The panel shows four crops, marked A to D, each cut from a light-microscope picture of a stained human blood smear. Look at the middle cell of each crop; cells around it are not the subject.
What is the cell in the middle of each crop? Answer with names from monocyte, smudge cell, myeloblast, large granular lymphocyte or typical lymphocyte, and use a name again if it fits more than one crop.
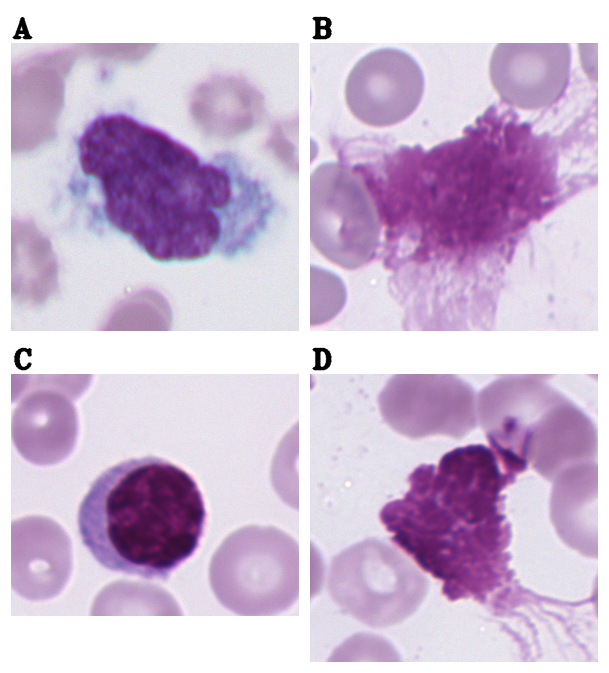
A: monocyte
B: smudge cell
C: typical lymphocyte
D: smudge cell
